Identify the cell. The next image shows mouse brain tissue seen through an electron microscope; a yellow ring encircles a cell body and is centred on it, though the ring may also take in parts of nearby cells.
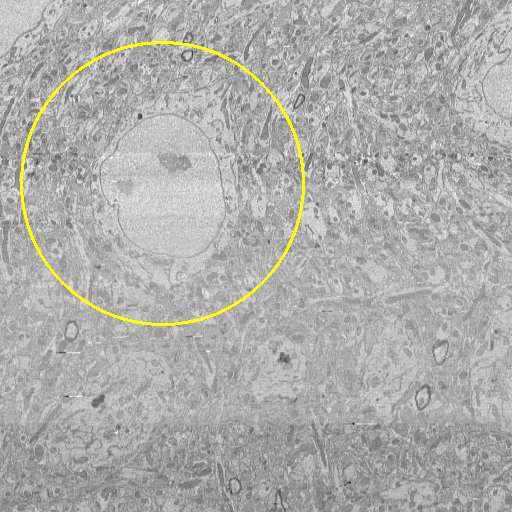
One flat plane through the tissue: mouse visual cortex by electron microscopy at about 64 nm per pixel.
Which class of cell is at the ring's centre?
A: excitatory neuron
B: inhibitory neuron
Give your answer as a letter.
A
